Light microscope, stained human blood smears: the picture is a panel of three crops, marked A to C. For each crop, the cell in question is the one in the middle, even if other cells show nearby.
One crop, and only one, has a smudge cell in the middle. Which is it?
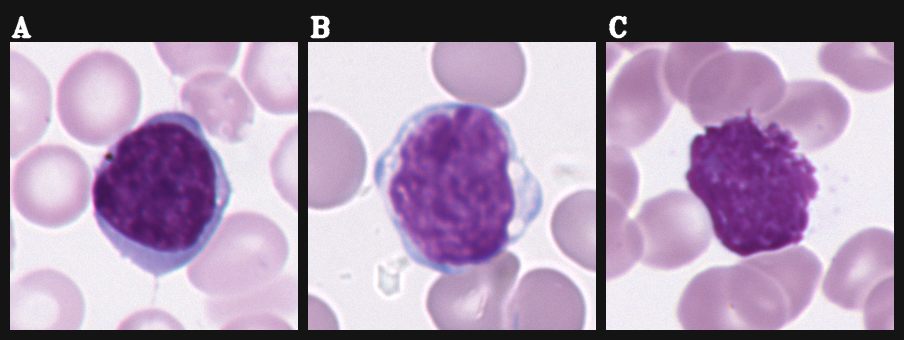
C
